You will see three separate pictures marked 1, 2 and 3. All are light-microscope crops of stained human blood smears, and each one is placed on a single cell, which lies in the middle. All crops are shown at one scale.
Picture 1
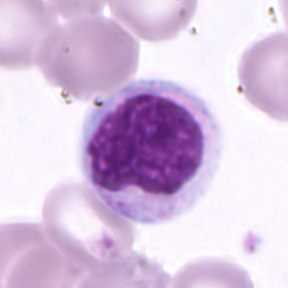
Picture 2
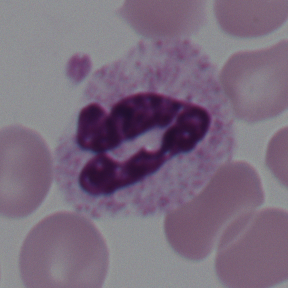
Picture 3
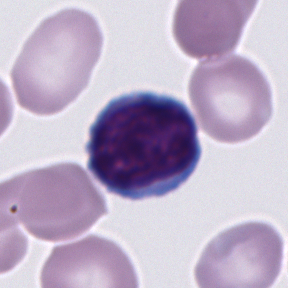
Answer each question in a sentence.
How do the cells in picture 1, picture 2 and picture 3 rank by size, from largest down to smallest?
Largest first: 2, 1, 3.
